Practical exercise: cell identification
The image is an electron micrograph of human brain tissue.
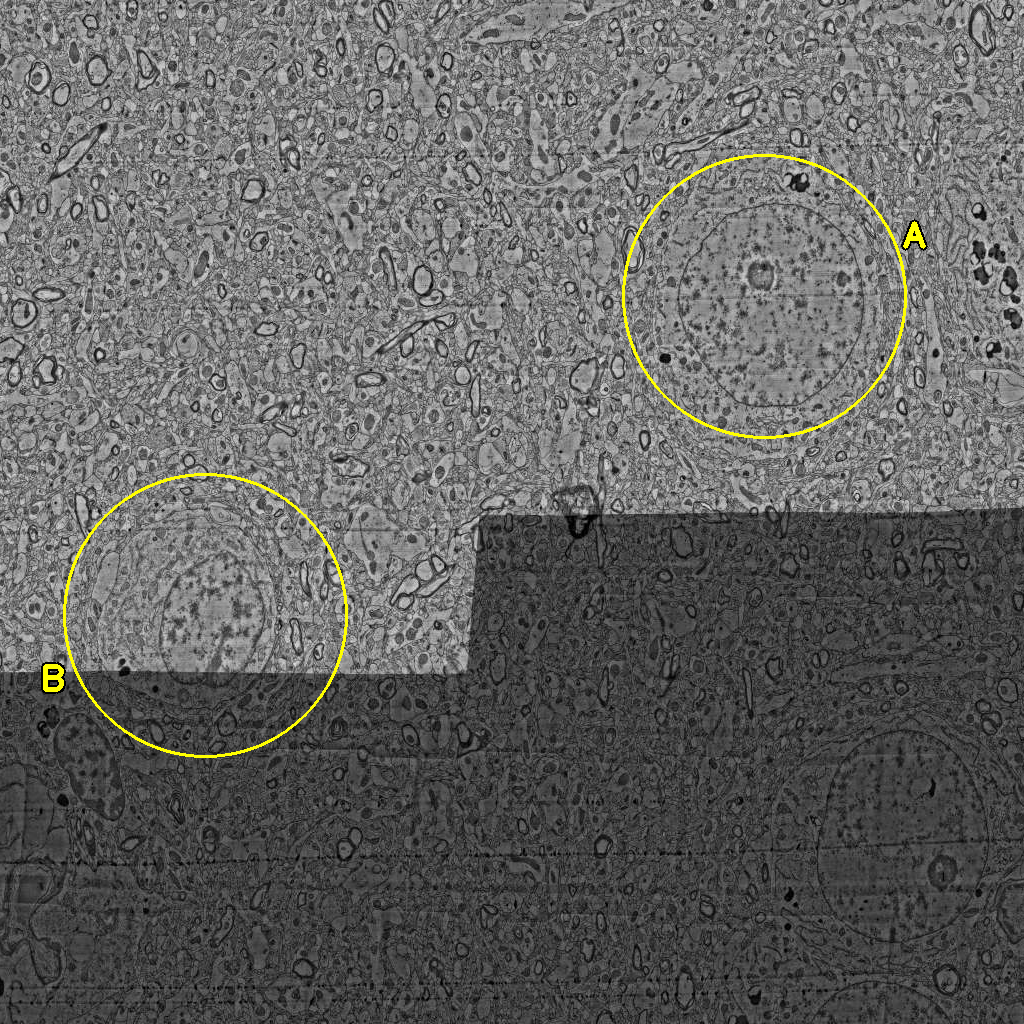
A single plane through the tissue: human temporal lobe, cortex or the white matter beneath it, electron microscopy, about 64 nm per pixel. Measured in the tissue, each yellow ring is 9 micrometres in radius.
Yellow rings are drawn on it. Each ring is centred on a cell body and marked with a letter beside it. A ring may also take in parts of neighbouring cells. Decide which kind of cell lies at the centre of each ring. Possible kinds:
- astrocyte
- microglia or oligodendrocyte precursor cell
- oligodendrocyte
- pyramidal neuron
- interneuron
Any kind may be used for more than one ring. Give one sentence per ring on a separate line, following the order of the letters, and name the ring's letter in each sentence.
The cell in the middle of ring A is a pyramidal neuron.
The cell in the middle of ring B is an interneuron.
